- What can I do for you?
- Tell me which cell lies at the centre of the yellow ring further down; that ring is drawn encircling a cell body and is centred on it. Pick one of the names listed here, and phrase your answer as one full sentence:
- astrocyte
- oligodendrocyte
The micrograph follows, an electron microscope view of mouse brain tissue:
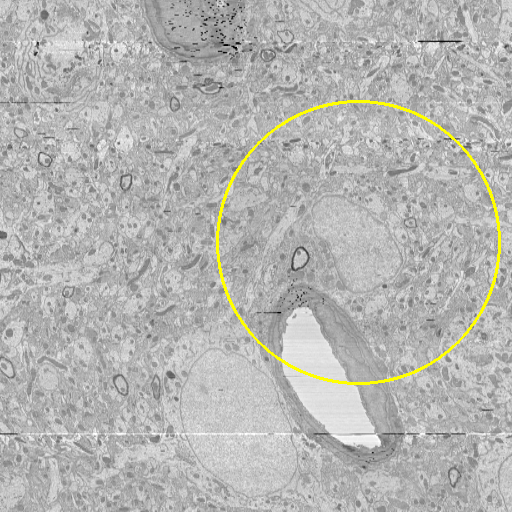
The cell whose body lies at the centre of the yellow ring is an astrocyte.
